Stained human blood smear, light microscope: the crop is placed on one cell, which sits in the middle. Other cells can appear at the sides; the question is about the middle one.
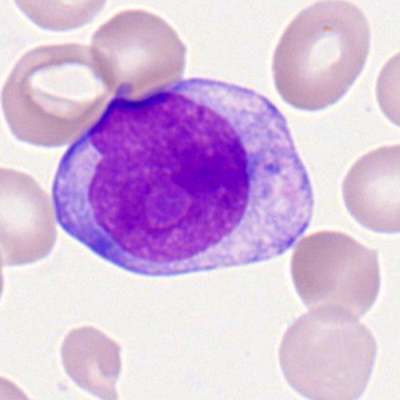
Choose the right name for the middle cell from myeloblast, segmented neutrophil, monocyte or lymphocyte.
myeloblast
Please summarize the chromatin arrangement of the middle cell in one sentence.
Coarse clumps are absent, and the chromatin is fine throughout.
